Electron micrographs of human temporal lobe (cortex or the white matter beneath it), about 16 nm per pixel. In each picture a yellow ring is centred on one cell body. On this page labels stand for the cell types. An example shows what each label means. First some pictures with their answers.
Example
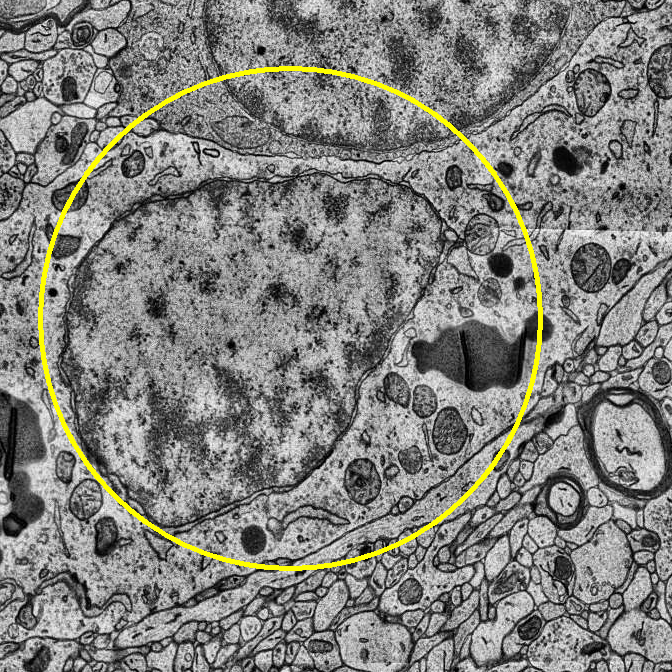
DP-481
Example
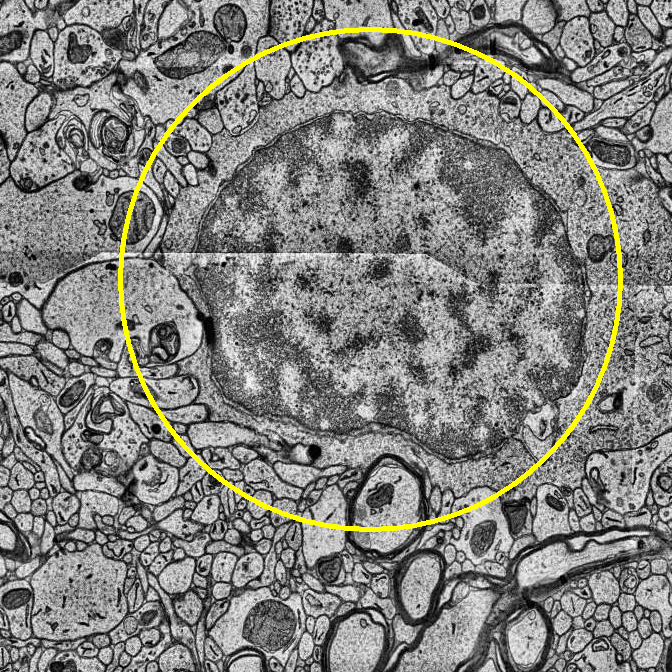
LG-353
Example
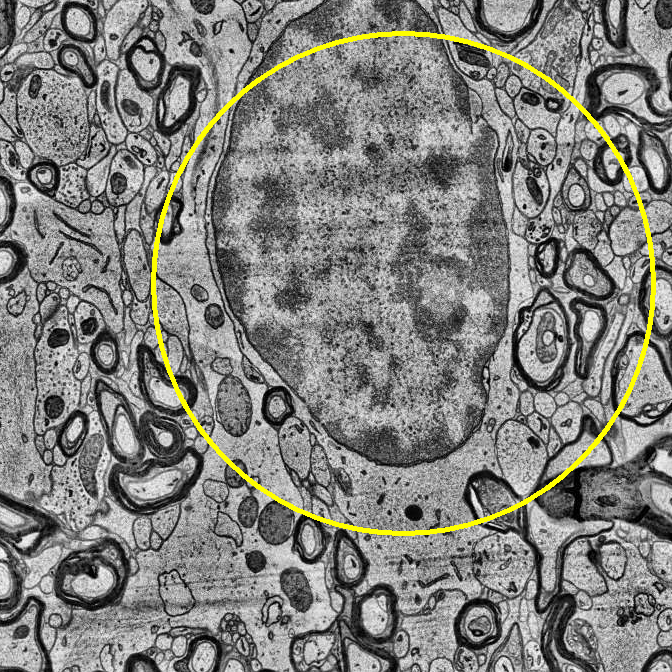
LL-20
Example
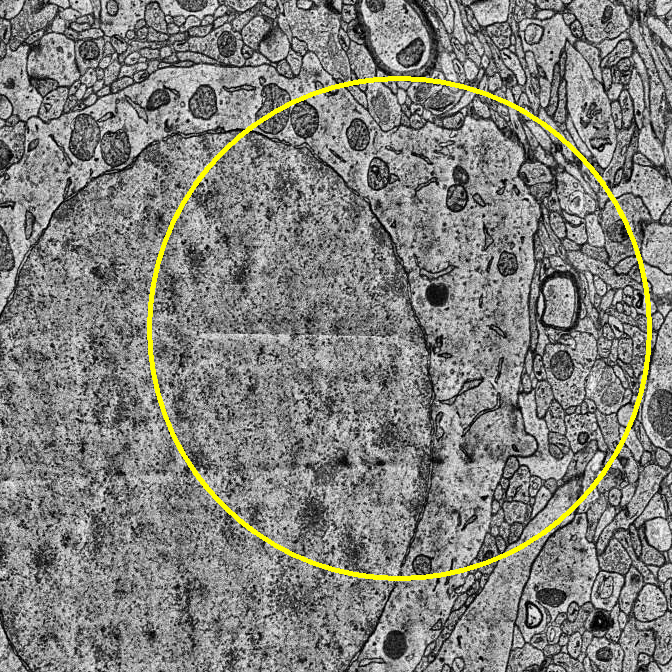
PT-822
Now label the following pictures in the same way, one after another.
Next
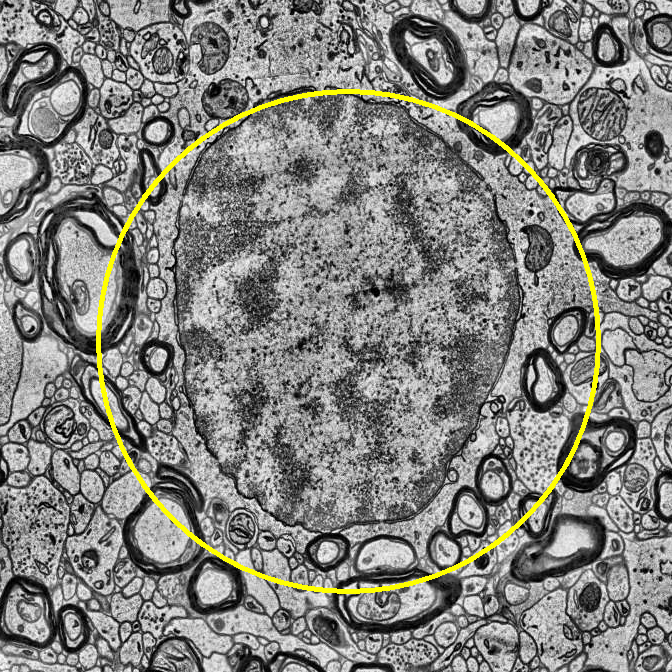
LG-353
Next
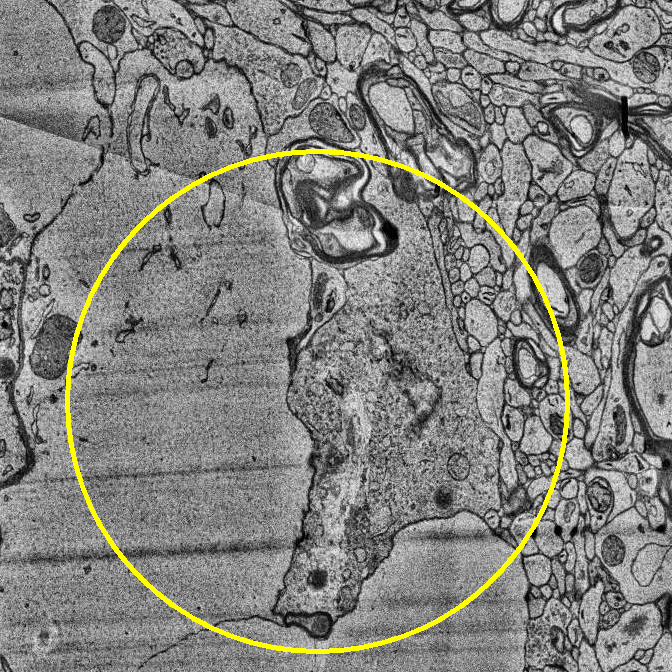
LG-353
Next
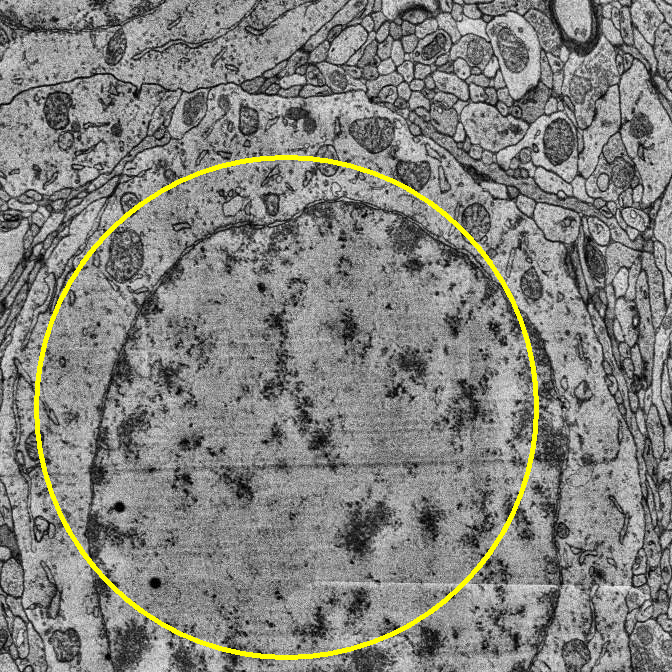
PT-822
